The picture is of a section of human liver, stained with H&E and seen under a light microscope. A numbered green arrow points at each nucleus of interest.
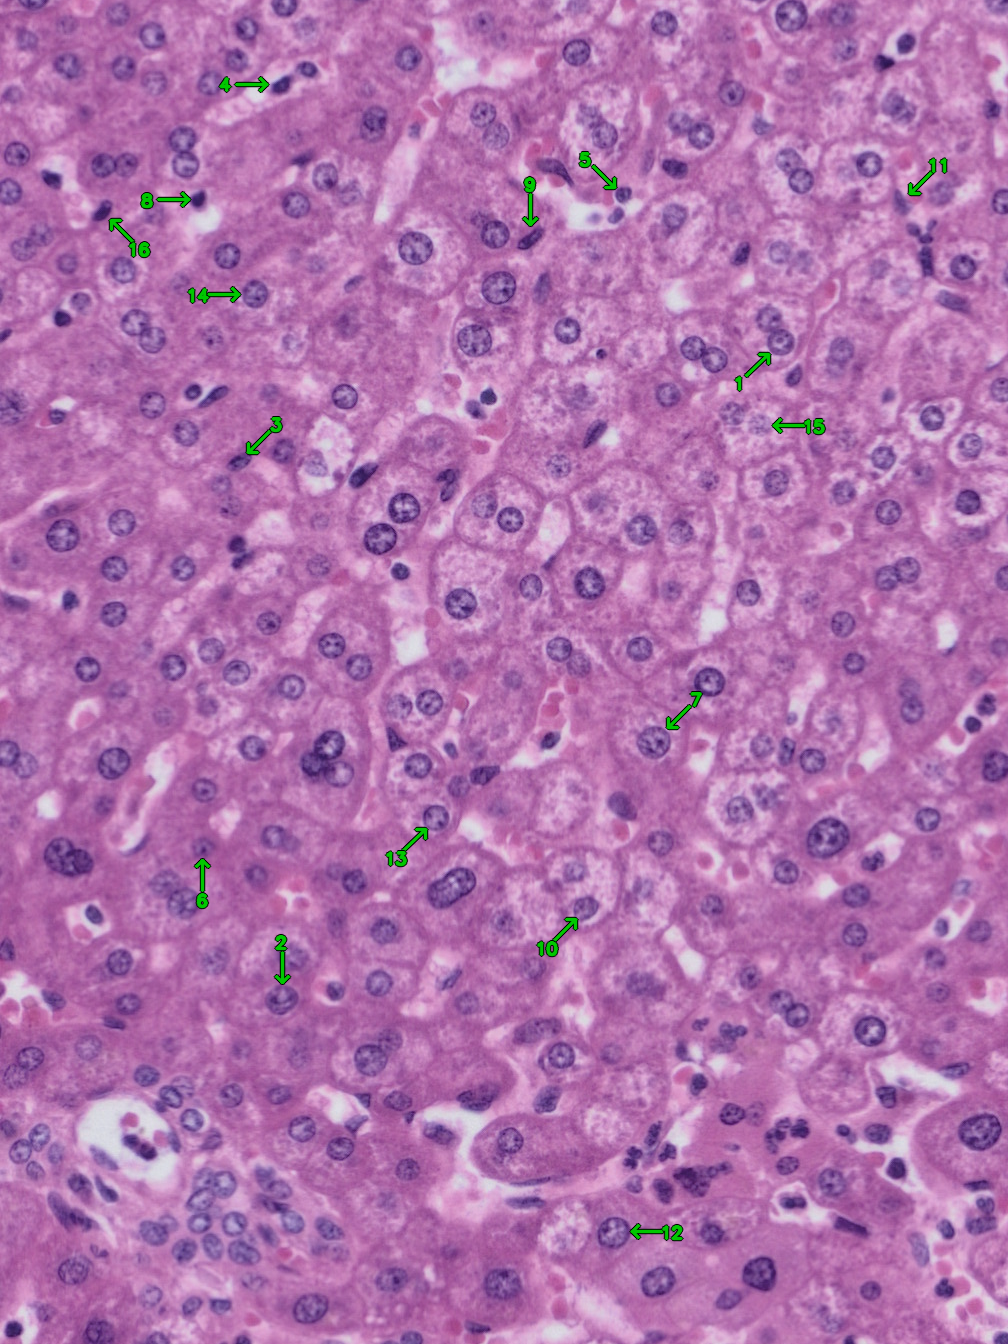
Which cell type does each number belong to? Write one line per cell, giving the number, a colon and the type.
1: hepatocyte
2: hepatocyte
3: fibroblast or stellate cell
4: lymphocyte
5: lymphocyte
6: hepatocyte
7: hepatocyte
8: lymphocyte
9: fibroblast or stellate cell
10: hepatocyte
11: endothelial cell
12: hepatocyte
13: hepatocyte
14: hepatocyte
15: hepatocyte
16: fibroblast or stellate cell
